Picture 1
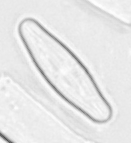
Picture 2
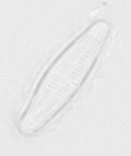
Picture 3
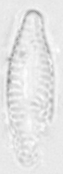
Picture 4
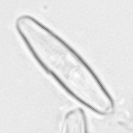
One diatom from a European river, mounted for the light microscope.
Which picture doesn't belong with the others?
Picture 3.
